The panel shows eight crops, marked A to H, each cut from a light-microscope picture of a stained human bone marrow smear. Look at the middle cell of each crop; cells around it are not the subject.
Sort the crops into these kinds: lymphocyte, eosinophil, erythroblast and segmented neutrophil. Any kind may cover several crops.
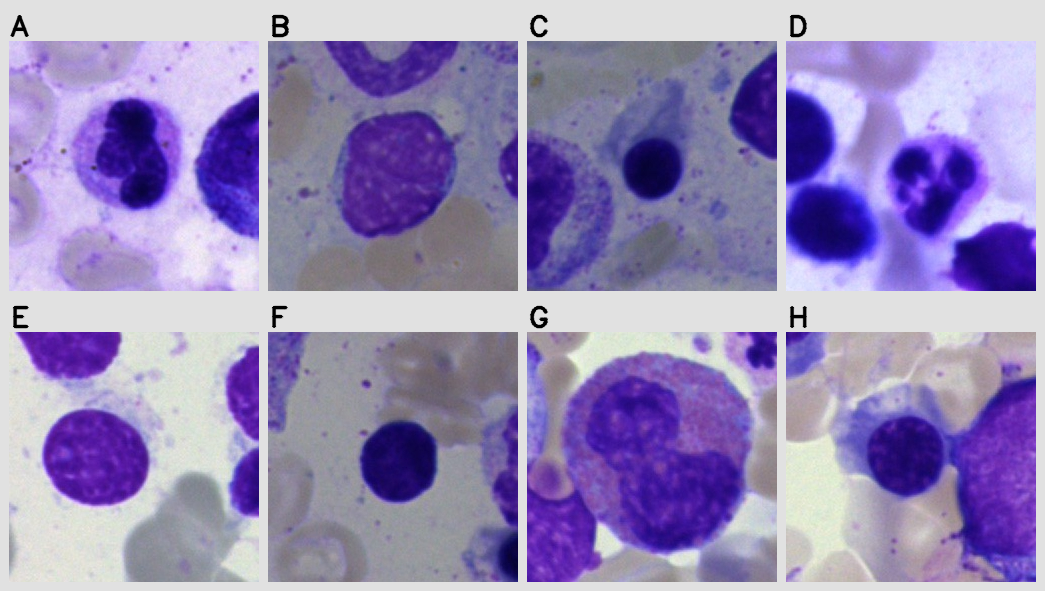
A: segmented neutrophil
B: lymphocyte
C: erythroblast
D: segmented neutrophil
E: lymphocyte
F: lymphocyte
G: eosinophil
H: erythroblast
